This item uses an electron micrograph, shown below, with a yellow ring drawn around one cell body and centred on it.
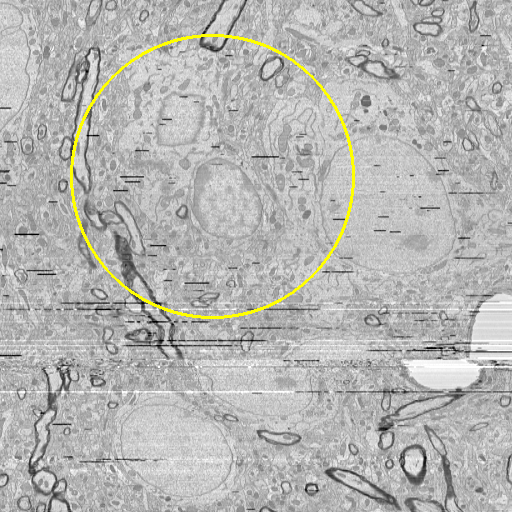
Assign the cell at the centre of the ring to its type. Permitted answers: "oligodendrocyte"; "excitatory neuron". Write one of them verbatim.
oligodendrocyte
